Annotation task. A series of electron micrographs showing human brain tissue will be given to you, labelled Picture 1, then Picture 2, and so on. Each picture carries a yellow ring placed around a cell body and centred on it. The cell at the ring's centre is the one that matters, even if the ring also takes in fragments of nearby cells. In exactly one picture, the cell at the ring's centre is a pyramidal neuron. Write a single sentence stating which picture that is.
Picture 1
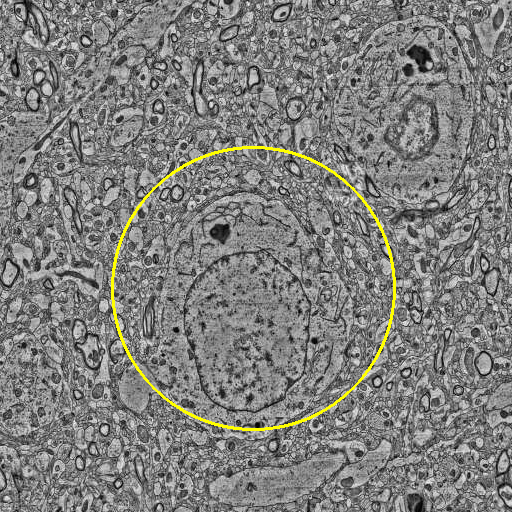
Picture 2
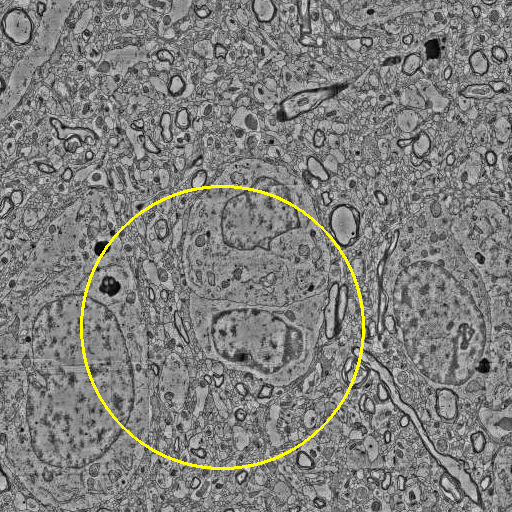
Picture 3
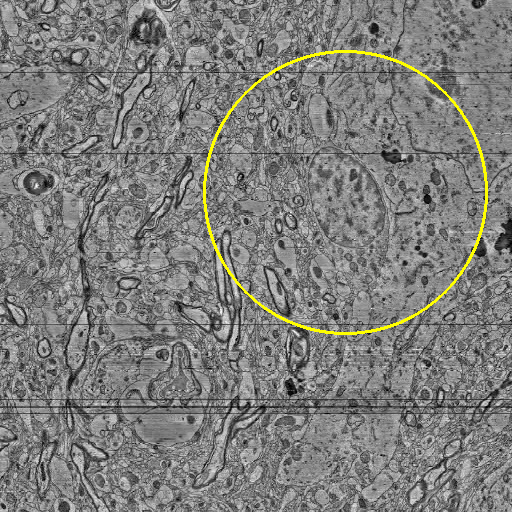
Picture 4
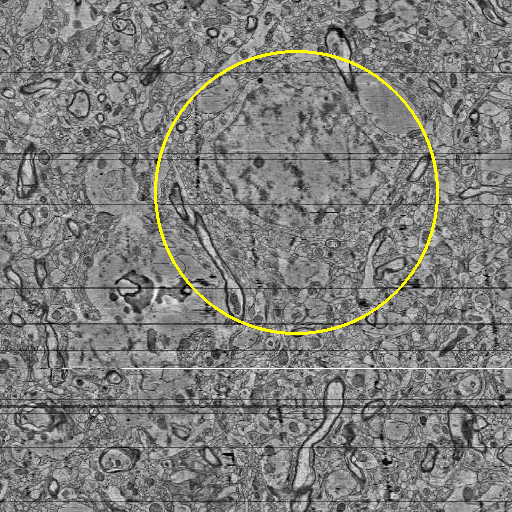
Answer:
Picture 1 holds the requested cell at the very centre of its ring.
